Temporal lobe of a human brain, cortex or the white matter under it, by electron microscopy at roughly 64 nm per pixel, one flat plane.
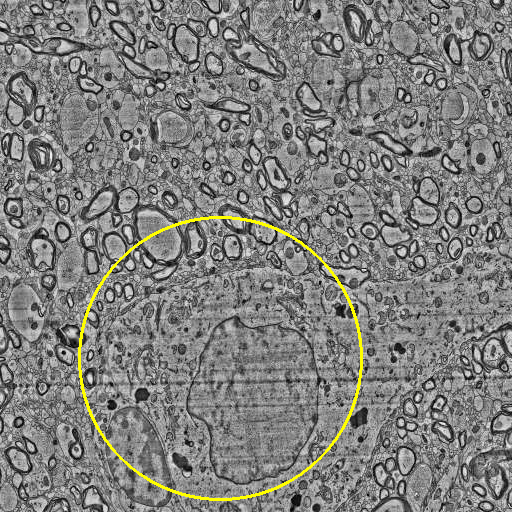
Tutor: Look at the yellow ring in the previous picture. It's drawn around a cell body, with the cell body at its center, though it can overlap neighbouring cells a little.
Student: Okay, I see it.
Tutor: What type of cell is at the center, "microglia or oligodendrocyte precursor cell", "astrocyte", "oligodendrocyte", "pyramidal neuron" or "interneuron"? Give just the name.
pyramidal neuron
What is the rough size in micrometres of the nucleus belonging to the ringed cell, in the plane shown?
The ringed cell's nucleus measures approximately 11 by 9 micrometres in this plane.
